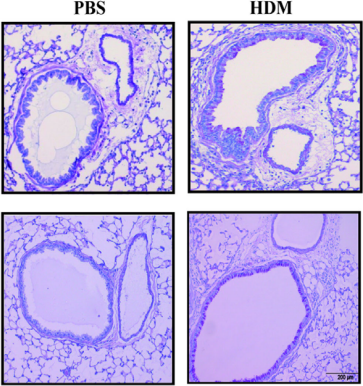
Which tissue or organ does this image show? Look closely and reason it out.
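Large round to oval lumens lined by a continuous epithelial layer. The lumens are surrounded by fine, lace-like alveolar tissue. On this evidence: airways.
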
